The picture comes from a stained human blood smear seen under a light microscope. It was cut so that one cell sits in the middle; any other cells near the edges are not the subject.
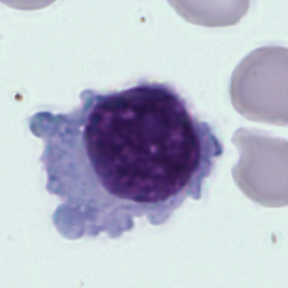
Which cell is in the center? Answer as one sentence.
As for the cell in the middle, it is a plasma cell.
